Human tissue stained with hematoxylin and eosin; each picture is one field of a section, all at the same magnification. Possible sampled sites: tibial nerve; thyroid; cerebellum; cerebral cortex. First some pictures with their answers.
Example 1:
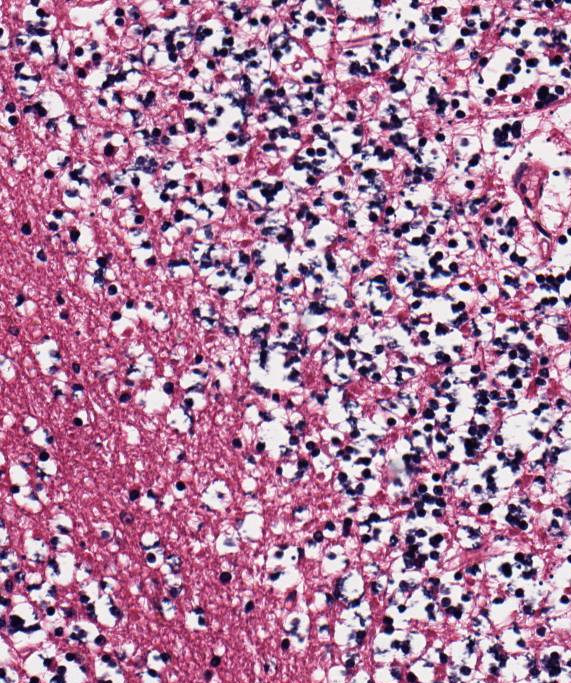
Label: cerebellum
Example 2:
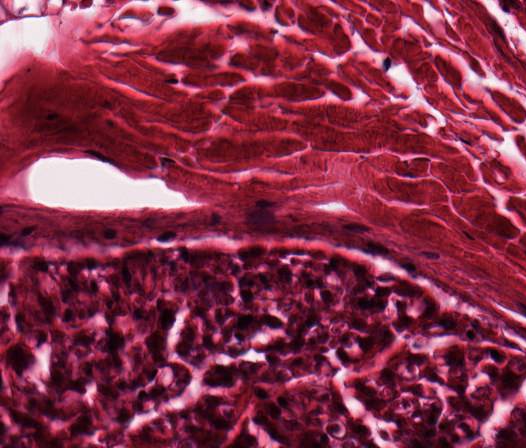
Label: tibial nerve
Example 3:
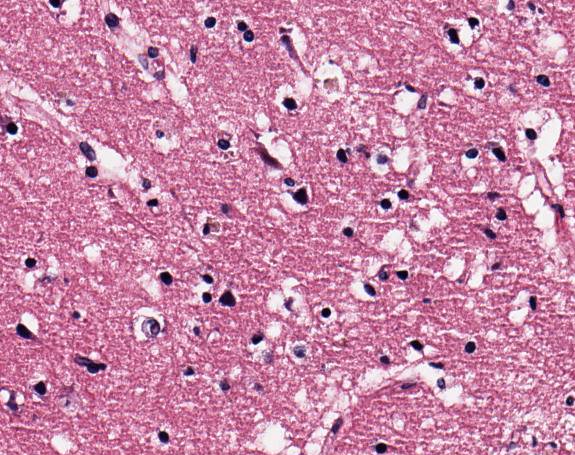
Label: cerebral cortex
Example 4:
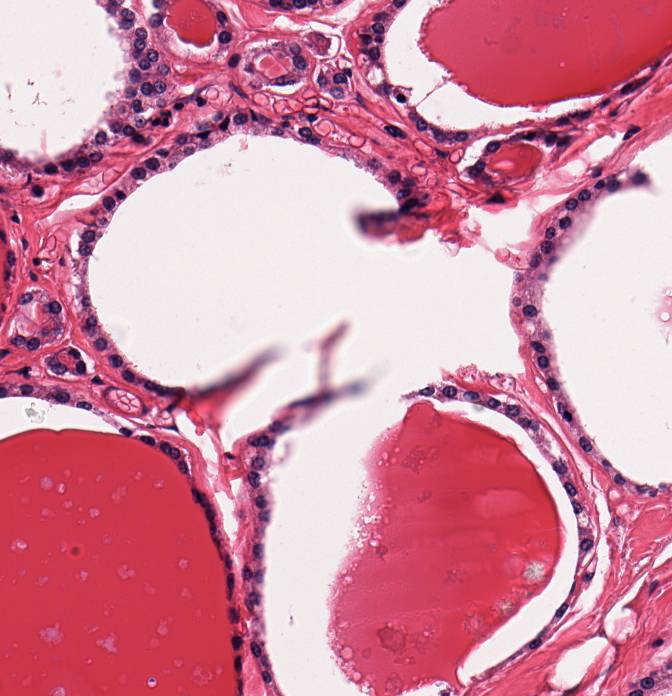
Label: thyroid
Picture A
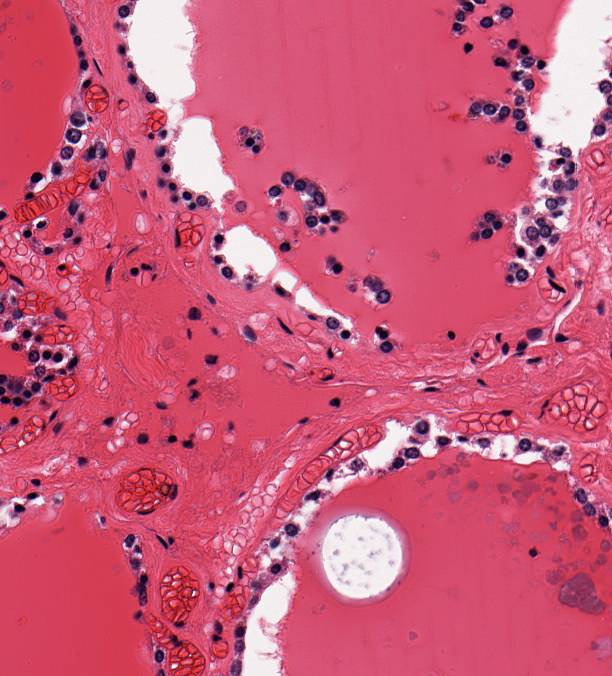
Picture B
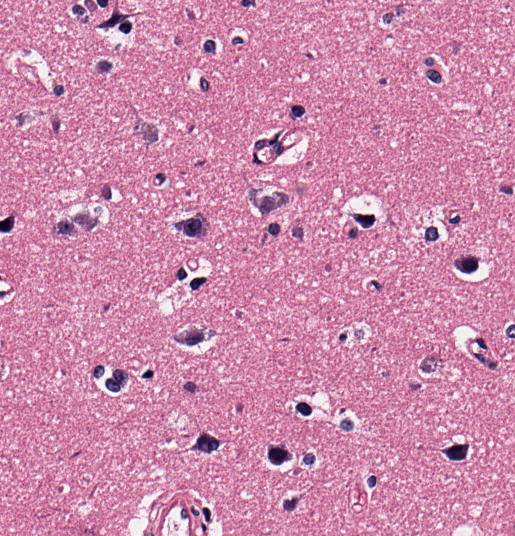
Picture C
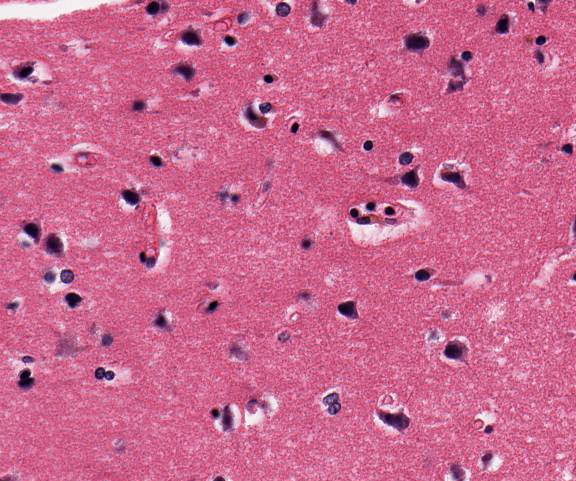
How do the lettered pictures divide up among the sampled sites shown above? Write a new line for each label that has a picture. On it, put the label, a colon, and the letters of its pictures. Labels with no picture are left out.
thyroid: A
cerebral cortex: B, C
